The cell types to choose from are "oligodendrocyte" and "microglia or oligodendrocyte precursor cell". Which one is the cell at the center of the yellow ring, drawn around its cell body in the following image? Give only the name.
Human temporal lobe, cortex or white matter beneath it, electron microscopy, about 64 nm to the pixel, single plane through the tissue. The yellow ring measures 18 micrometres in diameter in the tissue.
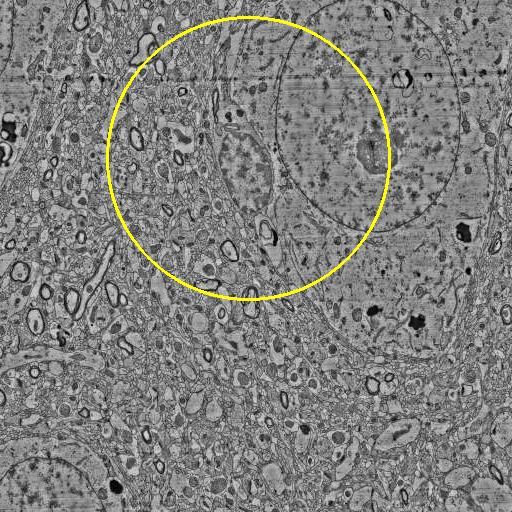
oligodendrocyte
